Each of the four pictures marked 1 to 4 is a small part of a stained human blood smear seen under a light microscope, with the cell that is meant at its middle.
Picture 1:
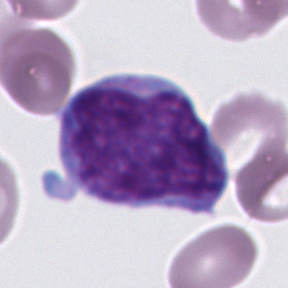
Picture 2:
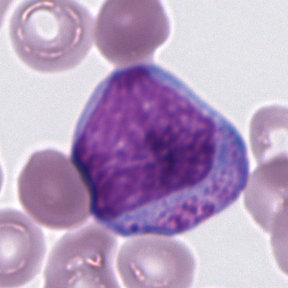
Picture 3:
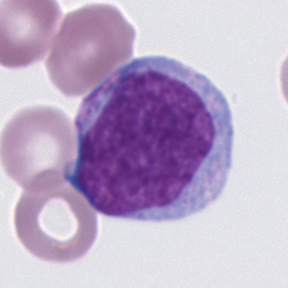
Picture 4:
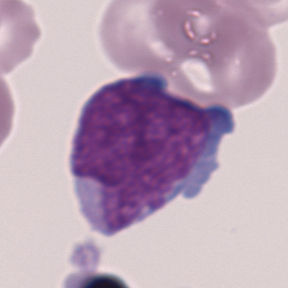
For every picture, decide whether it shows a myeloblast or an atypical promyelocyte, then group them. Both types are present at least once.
1: atypical promyelocyte
2: atypical promyelocyte
3: atypical promyelocyte
4: myeloblast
